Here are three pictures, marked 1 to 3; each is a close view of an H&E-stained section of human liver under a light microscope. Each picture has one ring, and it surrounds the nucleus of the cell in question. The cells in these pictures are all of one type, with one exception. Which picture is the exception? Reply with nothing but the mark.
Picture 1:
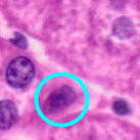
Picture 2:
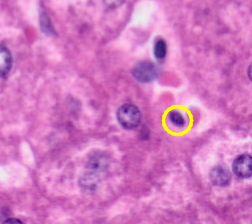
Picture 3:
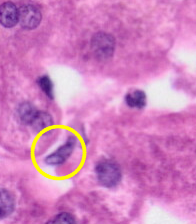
2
